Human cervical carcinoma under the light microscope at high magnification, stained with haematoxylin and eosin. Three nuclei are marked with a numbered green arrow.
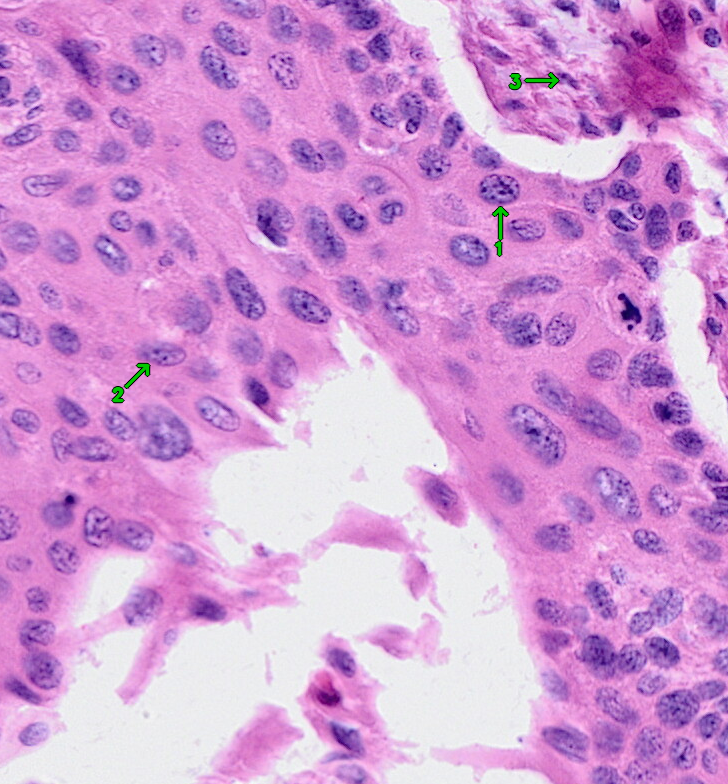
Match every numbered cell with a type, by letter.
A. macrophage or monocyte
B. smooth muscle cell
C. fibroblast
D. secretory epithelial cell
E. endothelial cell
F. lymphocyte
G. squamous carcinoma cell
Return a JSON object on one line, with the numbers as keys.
{"1": "G", "2": "G", "3": "C"}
